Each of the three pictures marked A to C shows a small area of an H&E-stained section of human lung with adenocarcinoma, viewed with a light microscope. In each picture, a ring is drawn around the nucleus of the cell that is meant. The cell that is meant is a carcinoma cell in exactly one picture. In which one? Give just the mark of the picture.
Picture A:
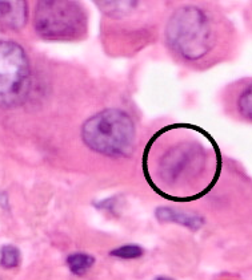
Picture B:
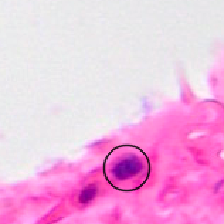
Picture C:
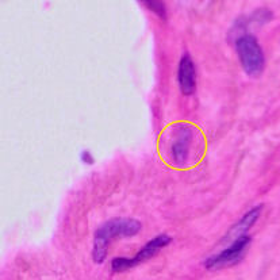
A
